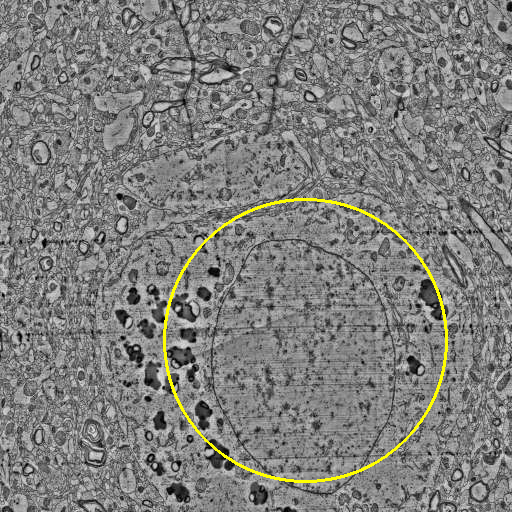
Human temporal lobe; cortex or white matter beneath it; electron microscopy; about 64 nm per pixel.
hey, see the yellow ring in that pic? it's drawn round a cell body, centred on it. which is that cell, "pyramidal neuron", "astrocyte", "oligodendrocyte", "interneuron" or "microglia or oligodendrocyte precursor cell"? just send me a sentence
The cell in the ring is a pyramidal neuron.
